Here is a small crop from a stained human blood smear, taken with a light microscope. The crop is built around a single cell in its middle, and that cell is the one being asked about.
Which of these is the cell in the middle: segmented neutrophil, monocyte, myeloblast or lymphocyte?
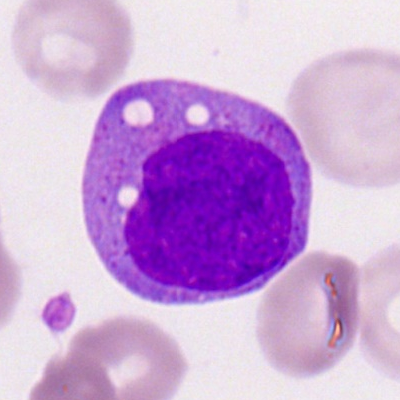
myeloblast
